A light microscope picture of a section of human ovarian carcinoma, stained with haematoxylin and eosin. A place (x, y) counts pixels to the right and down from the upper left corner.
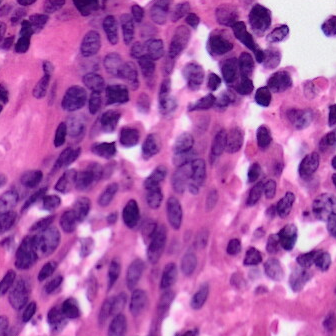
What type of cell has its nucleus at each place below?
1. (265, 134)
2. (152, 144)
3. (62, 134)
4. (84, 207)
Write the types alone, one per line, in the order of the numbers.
carcinoma cell
macrophage or monocyte
carcinoma cell
carcinoma cell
